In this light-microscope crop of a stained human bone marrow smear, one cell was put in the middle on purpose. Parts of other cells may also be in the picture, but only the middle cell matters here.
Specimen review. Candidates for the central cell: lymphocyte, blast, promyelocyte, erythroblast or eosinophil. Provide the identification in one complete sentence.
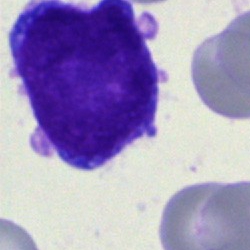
This crop's central cell is a blast.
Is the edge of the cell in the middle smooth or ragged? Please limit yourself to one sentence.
Its outline is ragged or drawn out into projections, not smooth.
